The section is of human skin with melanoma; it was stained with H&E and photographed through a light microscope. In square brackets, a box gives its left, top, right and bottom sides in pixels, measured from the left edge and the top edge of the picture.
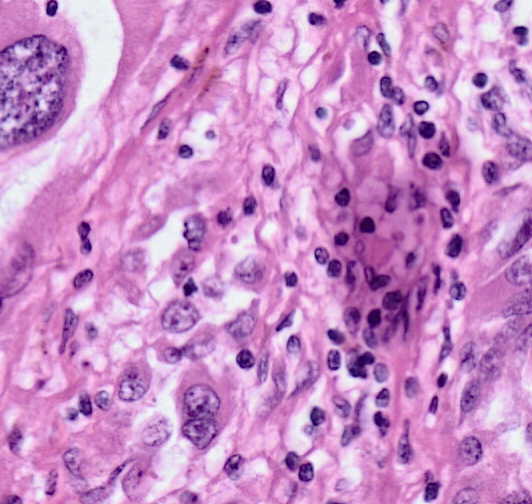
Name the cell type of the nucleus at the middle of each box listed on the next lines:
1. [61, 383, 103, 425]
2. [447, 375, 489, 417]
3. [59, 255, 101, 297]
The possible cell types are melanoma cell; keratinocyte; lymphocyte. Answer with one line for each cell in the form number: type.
1: lymphocyte
2: melanoma cell
3: lymphocyte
